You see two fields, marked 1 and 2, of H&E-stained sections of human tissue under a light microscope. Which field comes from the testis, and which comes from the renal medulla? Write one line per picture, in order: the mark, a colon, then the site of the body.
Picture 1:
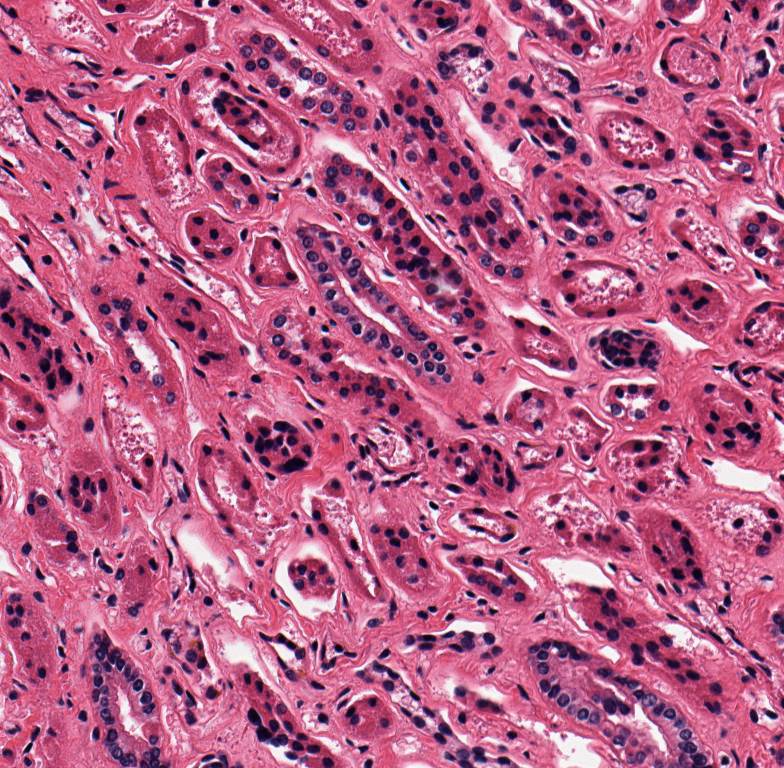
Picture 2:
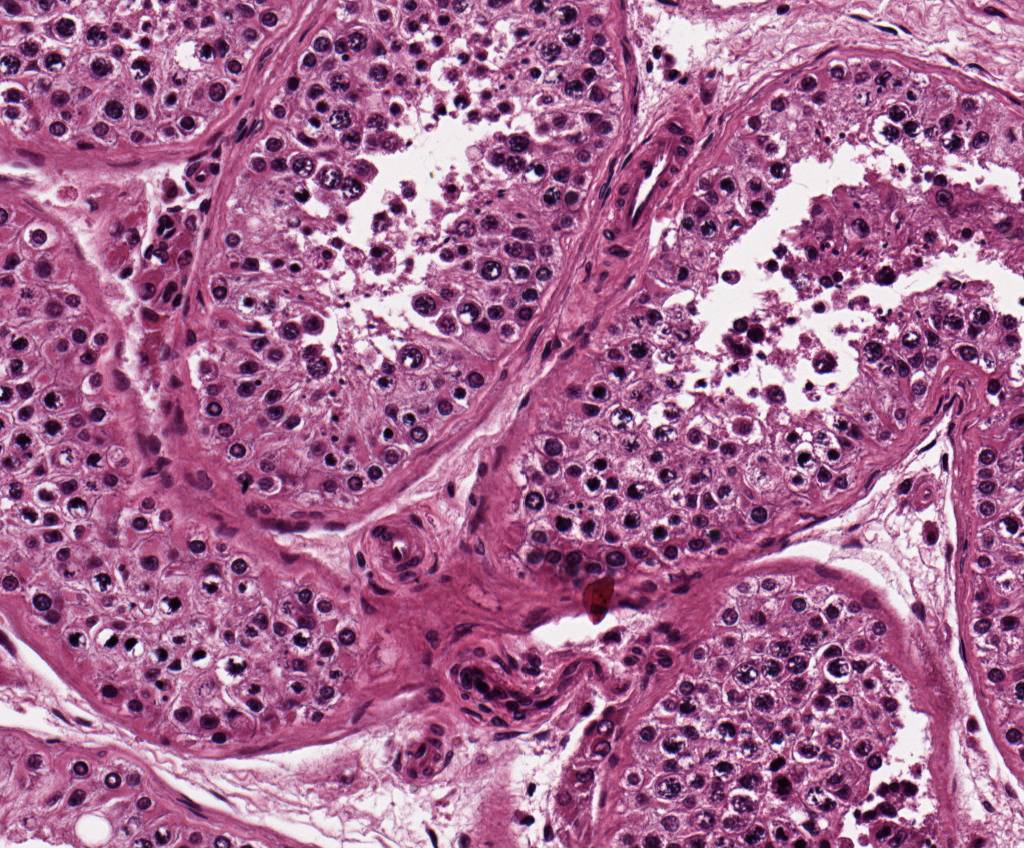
1: renal medulla
2: testis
